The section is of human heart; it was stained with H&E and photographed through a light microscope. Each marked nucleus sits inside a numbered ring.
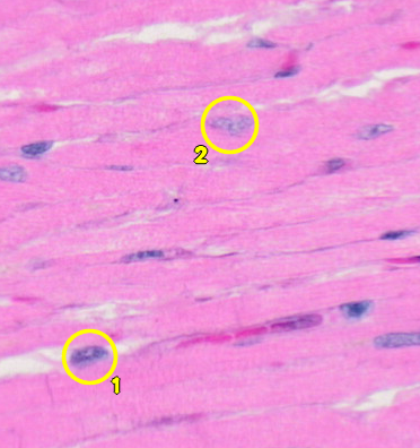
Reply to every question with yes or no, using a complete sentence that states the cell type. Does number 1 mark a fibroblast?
Yes, within this section, cell number 1 is a fibroblast.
